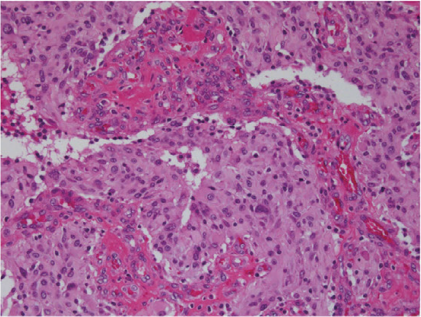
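Densely cellular tissue stained pink and purple, with crowded cells bearing oval to elongated, darkly purple nuclei of varying size and moderate pink cytoplasm. Little pale background remains between the cells. Scattered through the field are bundles of vessel-like structures with thick, bright pink walls lined and surrounded by piled-up plump cells, some with red blood cells in their lumens.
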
